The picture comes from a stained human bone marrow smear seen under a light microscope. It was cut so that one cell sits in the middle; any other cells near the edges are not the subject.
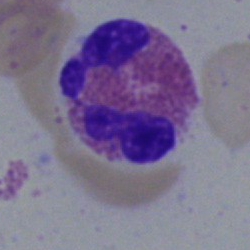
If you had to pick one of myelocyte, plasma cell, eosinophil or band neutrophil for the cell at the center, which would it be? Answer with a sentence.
Centrally within this crop lies an eosinophil.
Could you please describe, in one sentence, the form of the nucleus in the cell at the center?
This cell has a nucleus made up of two or more segments.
